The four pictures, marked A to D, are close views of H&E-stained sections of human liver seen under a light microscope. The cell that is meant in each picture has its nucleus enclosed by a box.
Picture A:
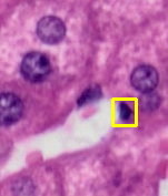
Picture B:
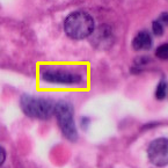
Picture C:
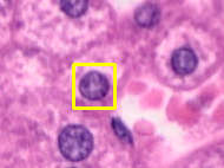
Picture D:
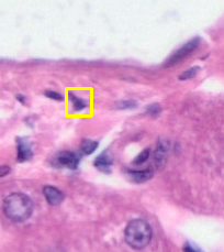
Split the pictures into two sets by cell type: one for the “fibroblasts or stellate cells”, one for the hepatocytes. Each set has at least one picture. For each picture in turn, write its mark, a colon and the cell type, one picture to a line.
A: fibroblast or stellate cell
B: fibroblast or stellate cell
C: hepatocyte
D: fibroblast or stellate cell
